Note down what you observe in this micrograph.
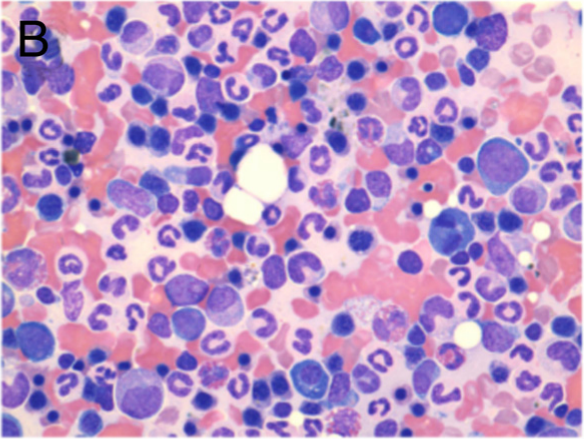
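A dense bone marrow smear crowded with cells whose nuclei are segmented, band-shaped or kidney-shaped, lying in pale pink cytoplasm, together with larger round cells with fine purple chromatin and blue cytoplasm, and small cells with dense round dark nuclei. Red cells fill the spaces between them and a few clear fat vacuoles are seen.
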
